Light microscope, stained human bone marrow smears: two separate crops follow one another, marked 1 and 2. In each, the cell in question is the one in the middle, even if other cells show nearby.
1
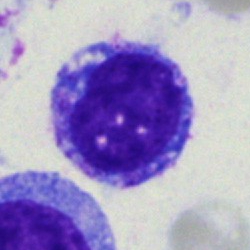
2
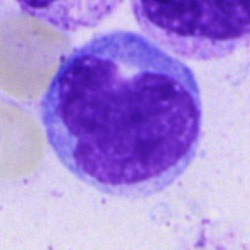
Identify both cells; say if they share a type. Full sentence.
Yes, both crops show monocytes, and the two match.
